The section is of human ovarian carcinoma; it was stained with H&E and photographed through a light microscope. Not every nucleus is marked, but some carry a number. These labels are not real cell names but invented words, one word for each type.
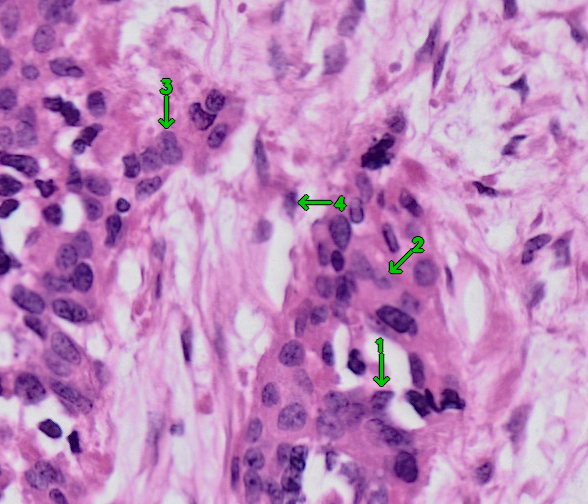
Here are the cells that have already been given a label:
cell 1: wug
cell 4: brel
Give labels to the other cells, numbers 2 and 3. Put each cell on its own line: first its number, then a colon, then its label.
2: wug
3: wug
